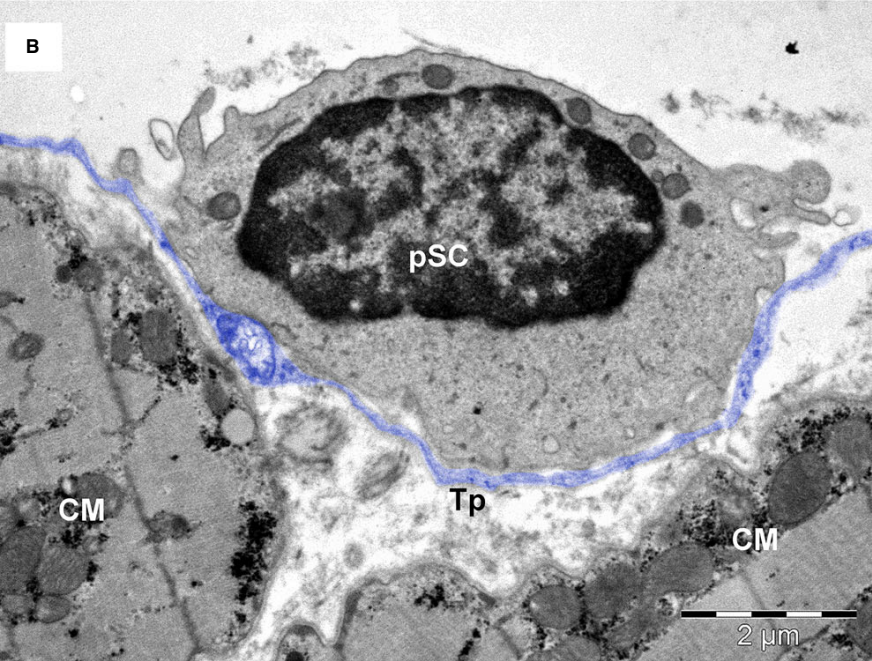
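The rounded cell has a large, slightly lobed nucleus with thick dark chromatin along its rim and short projections on its surface. Its cytoplasm is finely granular with numerous ribosomes and holds very few small mitochondria. A very thin blue-tinted telopode runs beneath and along the sides of the cell, separating it from the neighbouring tissue.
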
